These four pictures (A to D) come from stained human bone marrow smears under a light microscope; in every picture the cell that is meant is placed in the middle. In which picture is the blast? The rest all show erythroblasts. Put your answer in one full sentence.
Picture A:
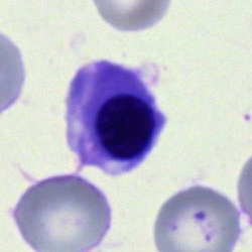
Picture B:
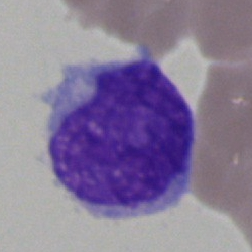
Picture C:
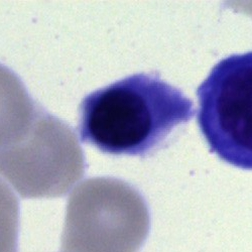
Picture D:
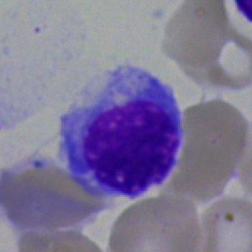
The cell in picture B is the blast.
